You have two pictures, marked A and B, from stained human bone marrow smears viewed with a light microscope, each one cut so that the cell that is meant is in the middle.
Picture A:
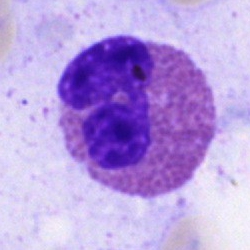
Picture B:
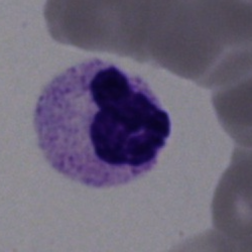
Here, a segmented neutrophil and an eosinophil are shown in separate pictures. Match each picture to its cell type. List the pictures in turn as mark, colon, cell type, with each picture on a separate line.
A: eosinophil
B: segmented neutrophil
